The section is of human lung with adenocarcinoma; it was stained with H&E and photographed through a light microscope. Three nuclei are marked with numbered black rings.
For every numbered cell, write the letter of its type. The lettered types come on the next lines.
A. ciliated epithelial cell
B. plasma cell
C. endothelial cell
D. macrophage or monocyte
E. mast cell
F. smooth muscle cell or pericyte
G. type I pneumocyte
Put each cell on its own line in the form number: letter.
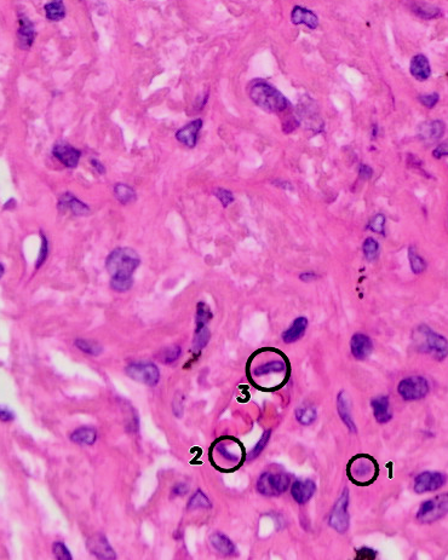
1: E
2: C
3: C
